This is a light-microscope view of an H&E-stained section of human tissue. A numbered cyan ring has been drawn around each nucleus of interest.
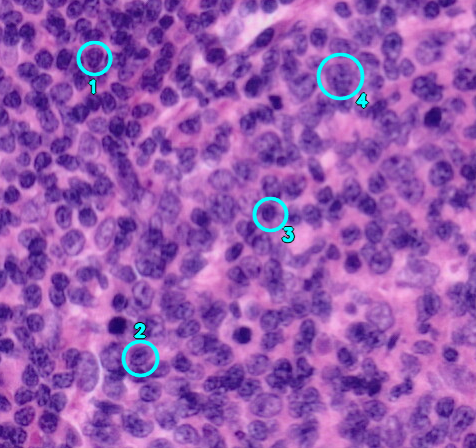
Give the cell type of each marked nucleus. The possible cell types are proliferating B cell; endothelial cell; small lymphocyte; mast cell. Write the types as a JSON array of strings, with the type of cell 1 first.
["small lymphocyte", "proliferating B cell", "proliferating B cell", "proliferating B cell"]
